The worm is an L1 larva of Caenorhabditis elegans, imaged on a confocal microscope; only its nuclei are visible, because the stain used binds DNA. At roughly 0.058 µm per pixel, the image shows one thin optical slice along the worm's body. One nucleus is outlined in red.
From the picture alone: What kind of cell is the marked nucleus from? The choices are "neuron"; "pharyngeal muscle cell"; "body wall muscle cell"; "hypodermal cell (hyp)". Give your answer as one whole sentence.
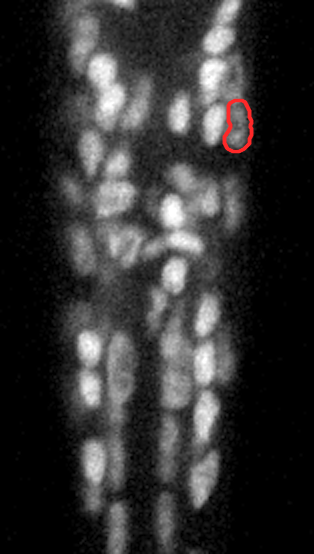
This nucleus is from a hypodermal cell (hyp).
